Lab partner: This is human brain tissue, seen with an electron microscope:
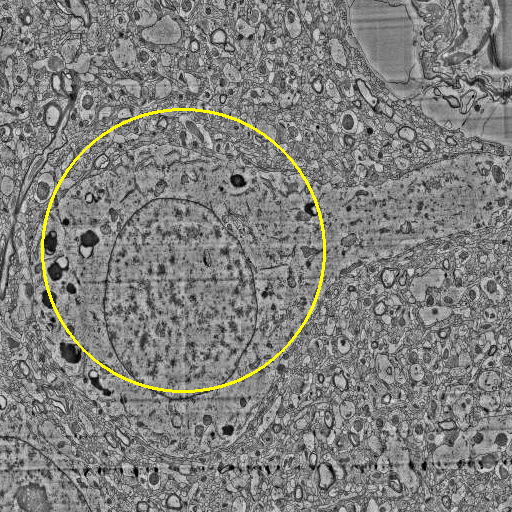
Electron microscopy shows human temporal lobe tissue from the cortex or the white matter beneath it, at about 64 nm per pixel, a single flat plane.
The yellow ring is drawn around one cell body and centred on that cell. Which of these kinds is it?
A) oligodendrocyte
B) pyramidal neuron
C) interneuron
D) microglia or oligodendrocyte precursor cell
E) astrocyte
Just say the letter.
B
